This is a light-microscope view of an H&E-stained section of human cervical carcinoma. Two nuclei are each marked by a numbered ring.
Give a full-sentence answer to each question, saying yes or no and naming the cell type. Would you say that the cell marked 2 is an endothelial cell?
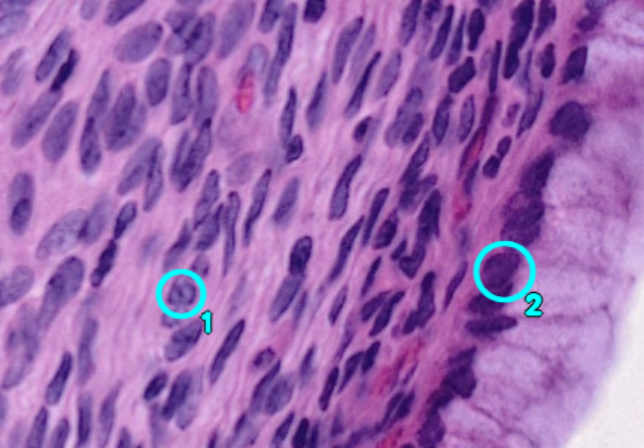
No, the marked cell 2 is not an endothelial cell, being instead a secretory epithelial cell.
